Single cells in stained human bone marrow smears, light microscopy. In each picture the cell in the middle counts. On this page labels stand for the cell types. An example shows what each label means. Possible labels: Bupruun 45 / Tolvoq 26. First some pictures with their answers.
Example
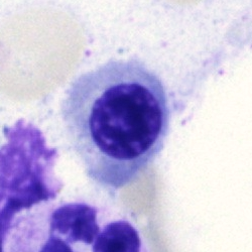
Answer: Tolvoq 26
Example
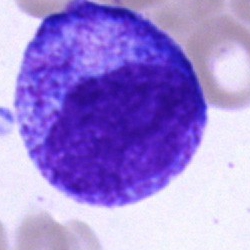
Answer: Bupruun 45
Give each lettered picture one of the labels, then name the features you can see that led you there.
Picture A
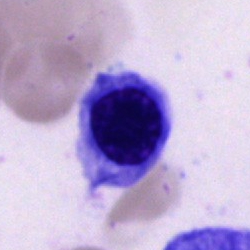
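Label: Tolvoq 26. The chromatin is dense, very dark purple and coarsely clumped.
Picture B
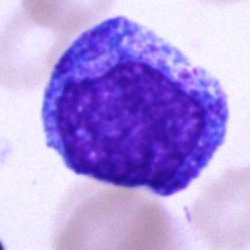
Label: Bupruun 45. The chromatin is finely stippled with small paler spots rather than coarsely clumped.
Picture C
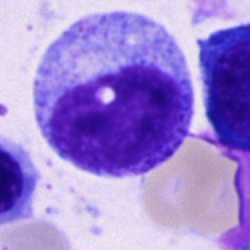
Label: Bupruun 45. Fine reddish-purple granules are scattered through the cytoplasm.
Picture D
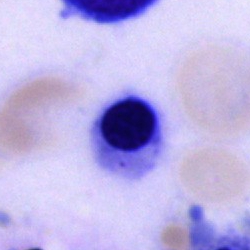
Label: Tolvoq 26. The chromatin is dense, dark purple and coarsely clumped.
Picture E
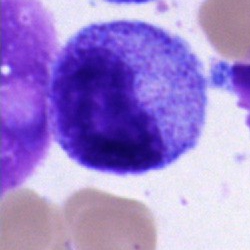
Label: Bupruun 45. The cytoplasm is stippled with fine purple granules.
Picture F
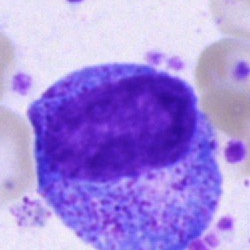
Label: Bupruun 45. Purple granules are most plentiful in the cytoplasm below the nucleus.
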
